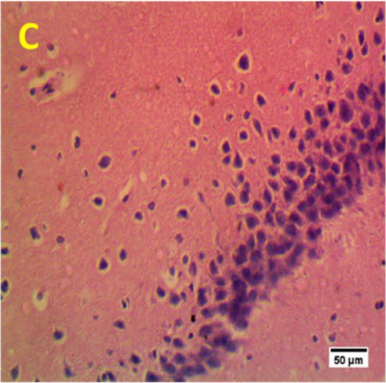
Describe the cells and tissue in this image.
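This is brain tissue stained with hematoxylin and eosin. A dense, curving band of closely packed cells with dark purple nuclei runs diagonally across the lower right part of the field. Away from this band, cells lie singly and far apart in a fairly uniform pink neuropil. Many of these scattered cells have dark nuclei surrounded by a clear pale halo. The neuropil shows little vacuolation, and the overall layered arrangement looks orderly.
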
